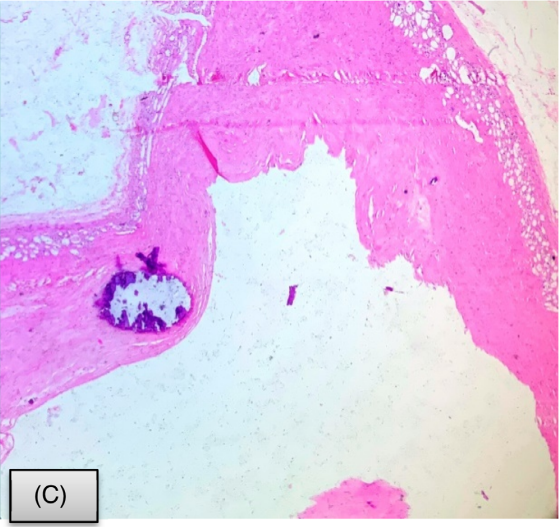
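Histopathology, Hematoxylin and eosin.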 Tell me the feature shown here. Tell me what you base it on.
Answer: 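A broad band of dense, pale-pink fibrous tissue borders a large empty, pale space. The inner surface of the pink band facing the space has no cell layer covering it.
Conclusion: fibrocollagenous cyst wall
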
